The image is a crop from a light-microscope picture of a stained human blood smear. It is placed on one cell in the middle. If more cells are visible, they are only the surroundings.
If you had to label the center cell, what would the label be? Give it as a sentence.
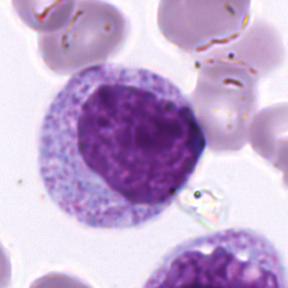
By classification, the middle cell of this crop is a myelocyte.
